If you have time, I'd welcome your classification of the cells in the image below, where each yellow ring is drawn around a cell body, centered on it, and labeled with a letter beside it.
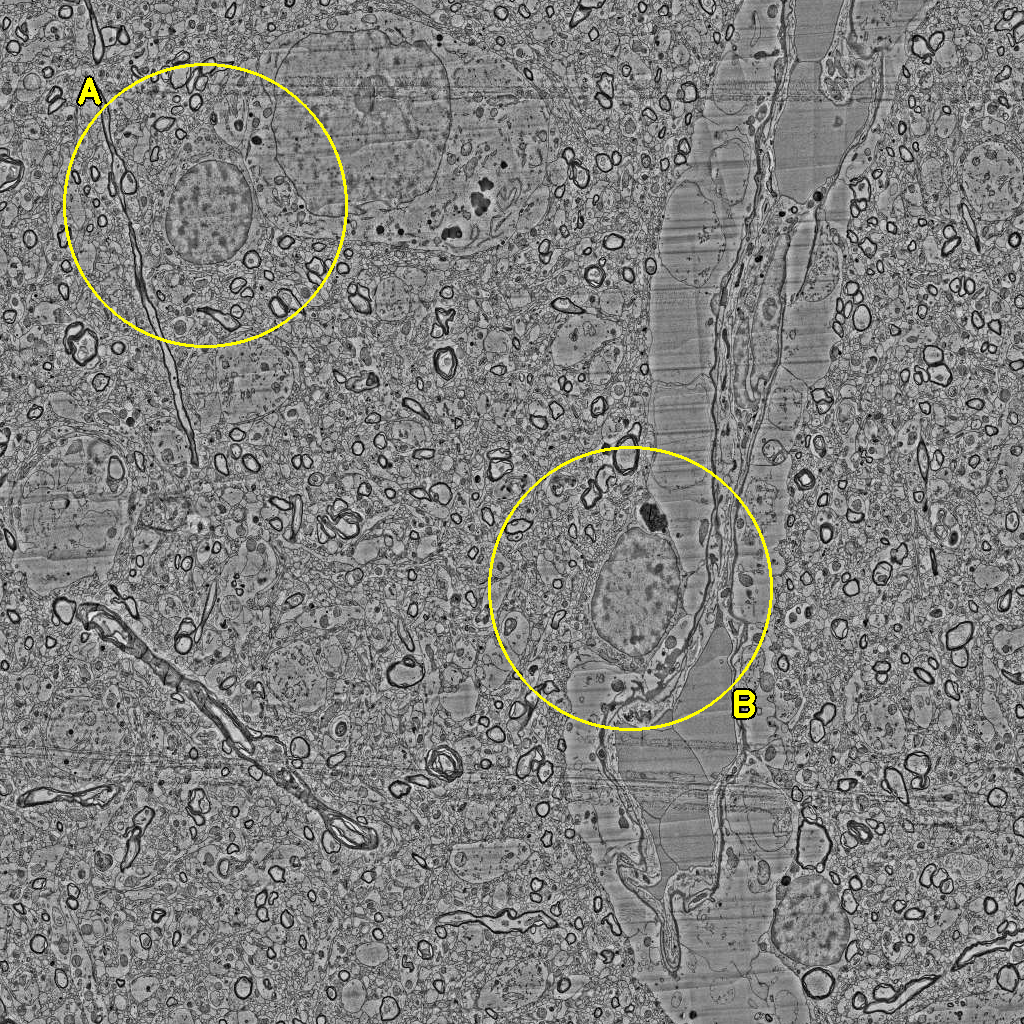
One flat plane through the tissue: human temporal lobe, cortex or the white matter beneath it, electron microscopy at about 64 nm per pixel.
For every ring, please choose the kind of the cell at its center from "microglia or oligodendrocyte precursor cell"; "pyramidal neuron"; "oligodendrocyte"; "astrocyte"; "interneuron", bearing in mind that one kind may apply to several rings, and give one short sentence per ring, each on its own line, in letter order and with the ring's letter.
At the center of ring A is an oligodendrocyte.
At the center of ring B is an oligodendrocyte.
